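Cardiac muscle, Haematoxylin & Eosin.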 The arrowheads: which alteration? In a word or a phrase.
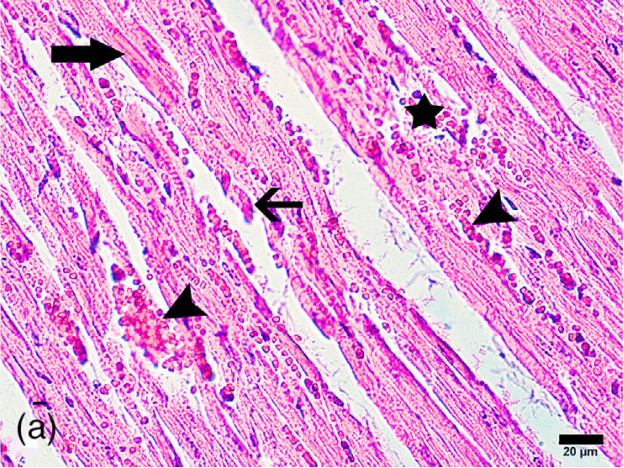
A: Microvascular congestion.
